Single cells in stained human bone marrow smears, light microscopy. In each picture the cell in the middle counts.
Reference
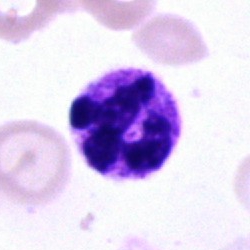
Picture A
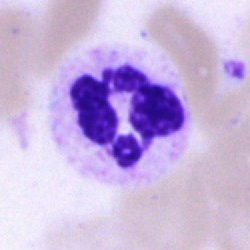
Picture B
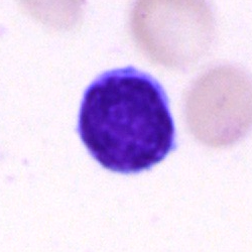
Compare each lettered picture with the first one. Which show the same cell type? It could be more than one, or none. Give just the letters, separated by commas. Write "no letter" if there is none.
A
